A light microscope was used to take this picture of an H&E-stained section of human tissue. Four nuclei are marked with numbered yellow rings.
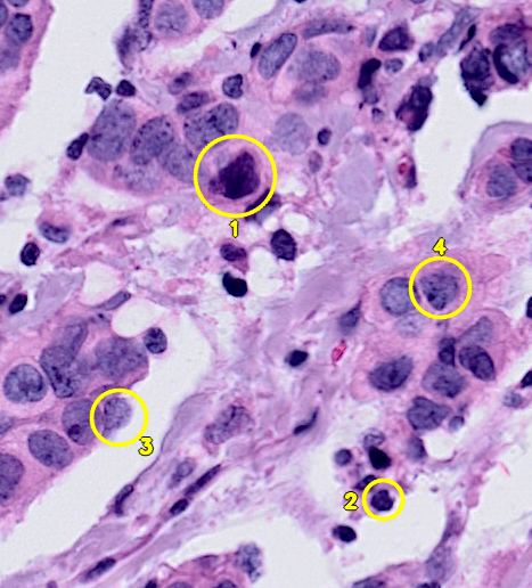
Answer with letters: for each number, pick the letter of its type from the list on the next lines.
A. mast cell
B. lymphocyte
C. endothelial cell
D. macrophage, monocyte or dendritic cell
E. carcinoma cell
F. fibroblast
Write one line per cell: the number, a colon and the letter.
1: E
2: B
3: E
4: E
